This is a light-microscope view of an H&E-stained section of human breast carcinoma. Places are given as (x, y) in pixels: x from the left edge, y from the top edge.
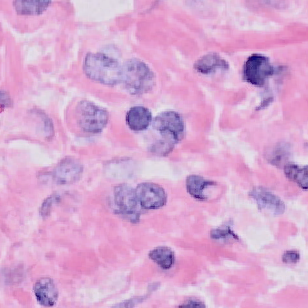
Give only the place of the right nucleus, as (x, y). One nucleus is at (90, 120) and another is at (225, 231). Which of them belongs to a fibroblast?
(225, 231)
